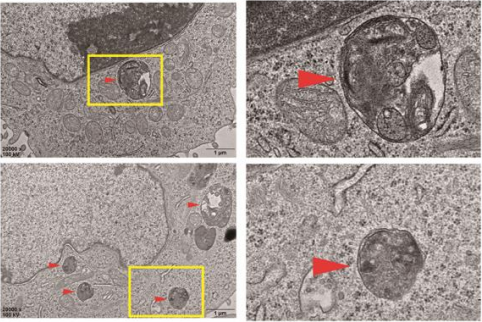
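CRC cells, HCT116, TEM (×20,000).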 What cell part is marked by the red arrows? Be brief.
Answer: autophagic vacuoles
